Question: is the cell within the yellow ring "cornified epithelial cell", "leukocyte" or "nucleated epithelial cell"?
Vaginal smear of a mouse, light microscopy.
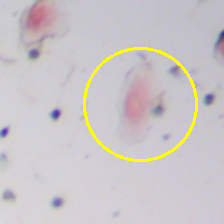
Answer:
nucleated epithelial cell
